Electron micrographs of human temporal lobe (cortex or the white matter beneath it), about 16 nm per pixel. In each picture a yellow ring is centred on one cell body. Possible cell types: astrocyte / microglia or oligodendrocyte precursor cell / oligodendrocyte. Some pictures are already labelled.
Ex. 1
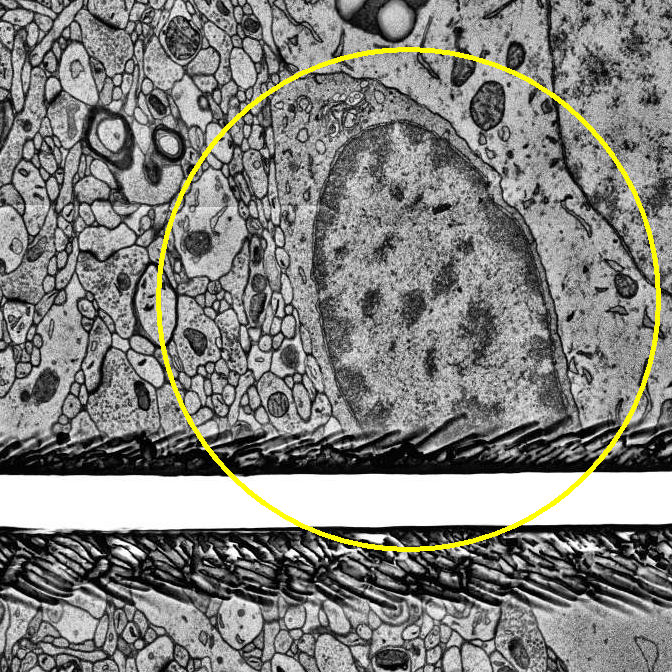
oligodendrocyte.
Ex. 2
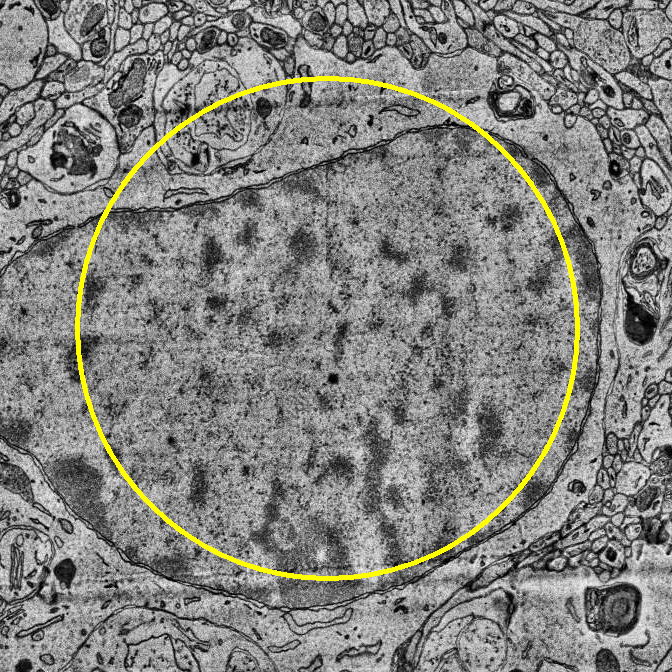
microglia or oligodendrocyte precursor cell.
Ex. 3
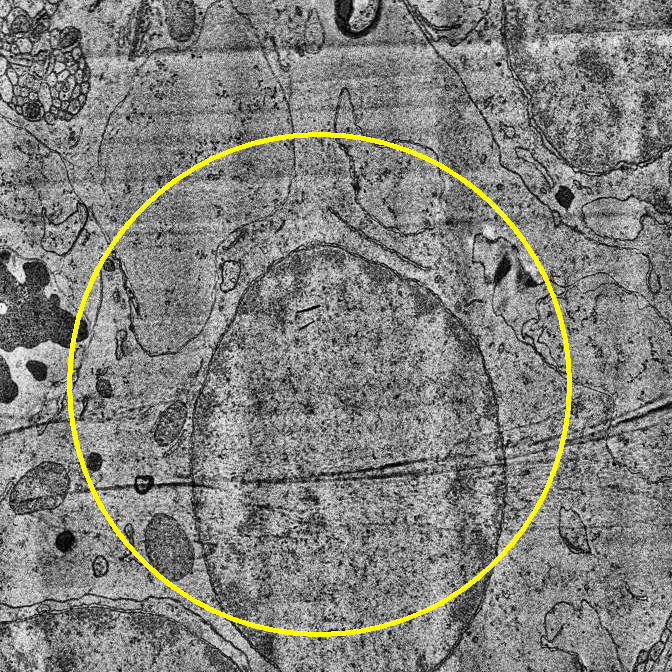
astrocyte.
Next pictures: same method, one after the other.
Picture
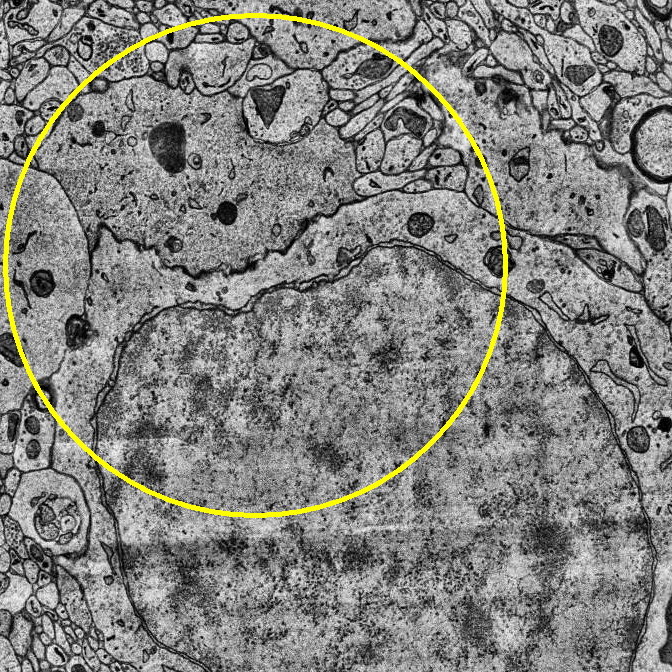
oligodendrocyte.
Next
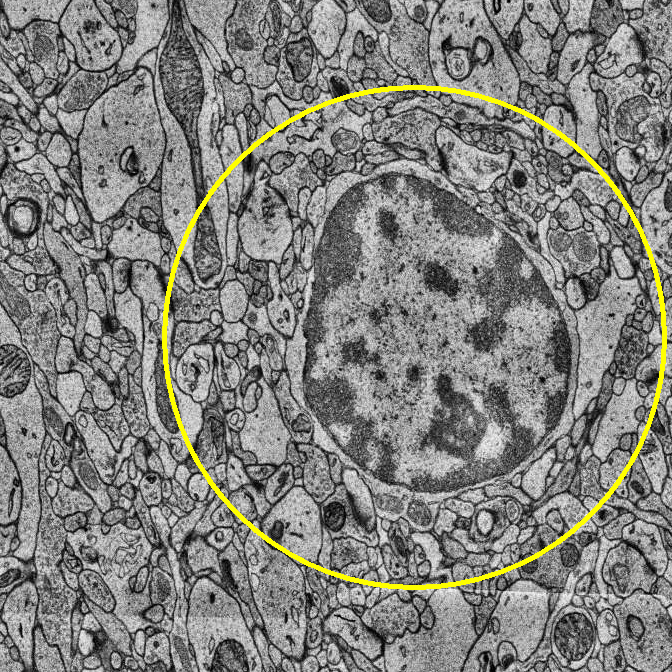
microglia or oligodendrocyte precursor cell.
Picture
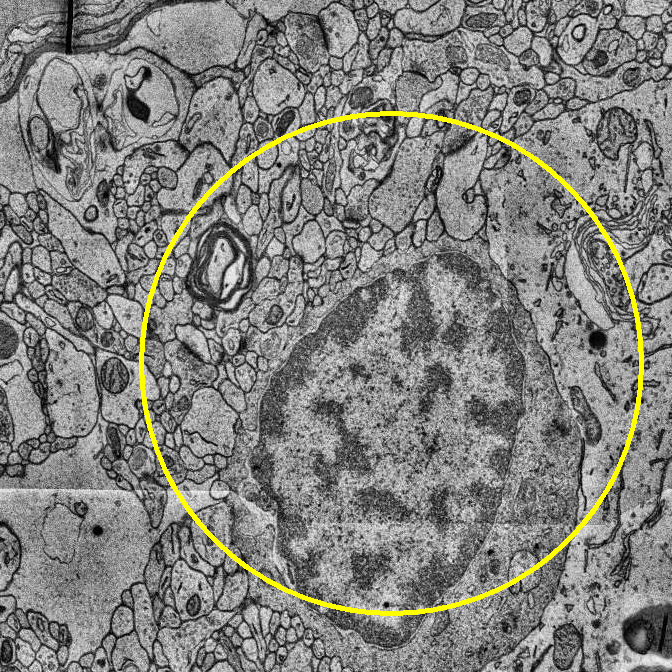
oligodendrocyte.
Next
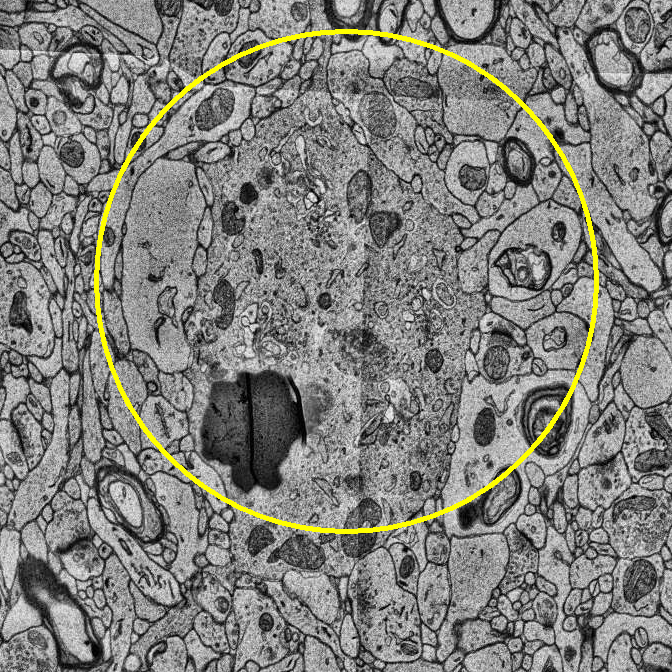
oligodendrocyte.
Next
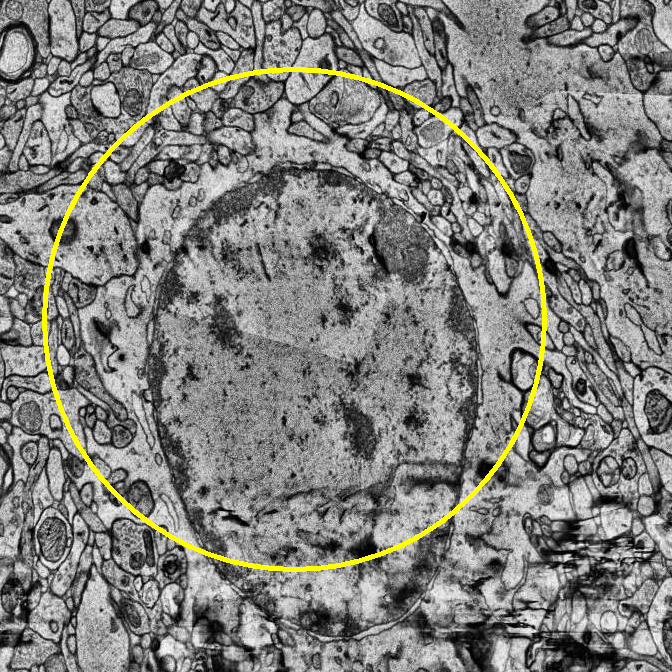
astrocyte.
